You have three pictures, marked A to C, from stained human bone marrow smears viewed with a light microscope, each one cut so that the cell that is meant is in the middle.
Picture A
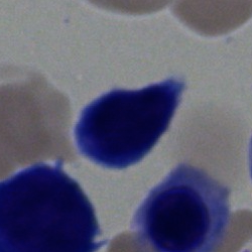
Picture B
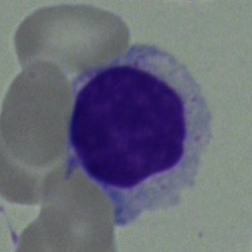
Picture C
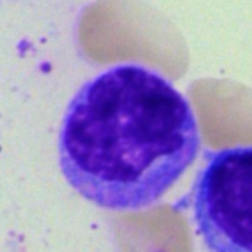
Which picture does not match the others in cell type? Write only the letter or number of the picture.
C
